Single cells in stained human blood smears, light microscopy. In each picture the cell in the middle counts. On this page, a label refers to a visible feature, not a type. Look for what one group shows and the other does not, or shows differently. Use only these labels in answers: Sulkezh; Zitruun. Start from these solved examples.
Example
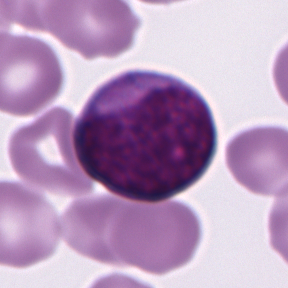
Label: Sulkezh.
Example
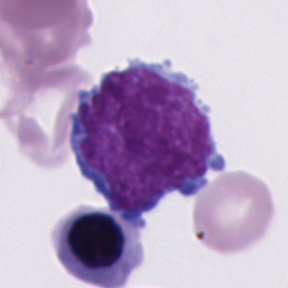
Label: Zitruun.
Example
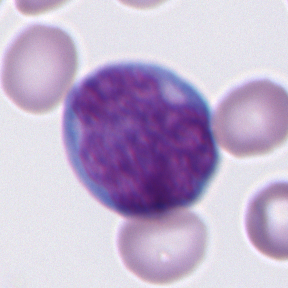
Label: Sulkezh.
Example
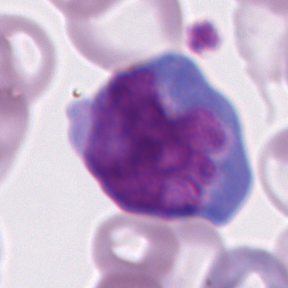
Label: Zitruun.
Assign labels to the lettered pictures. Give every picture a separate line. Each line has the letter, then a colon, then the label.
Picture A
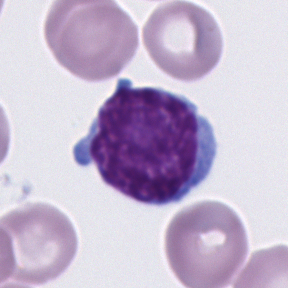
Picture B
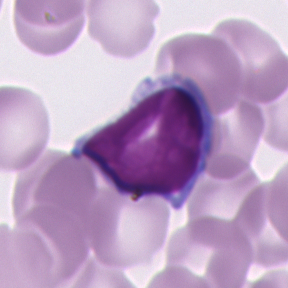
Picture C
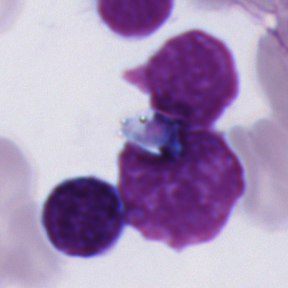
A: Zitruun.
B: Zitruun.
C: Zitruun.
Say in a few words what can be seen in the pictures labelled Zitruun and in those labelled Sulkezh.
Zitruun, ragged outline or projections; Sulkezh, smooth outline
